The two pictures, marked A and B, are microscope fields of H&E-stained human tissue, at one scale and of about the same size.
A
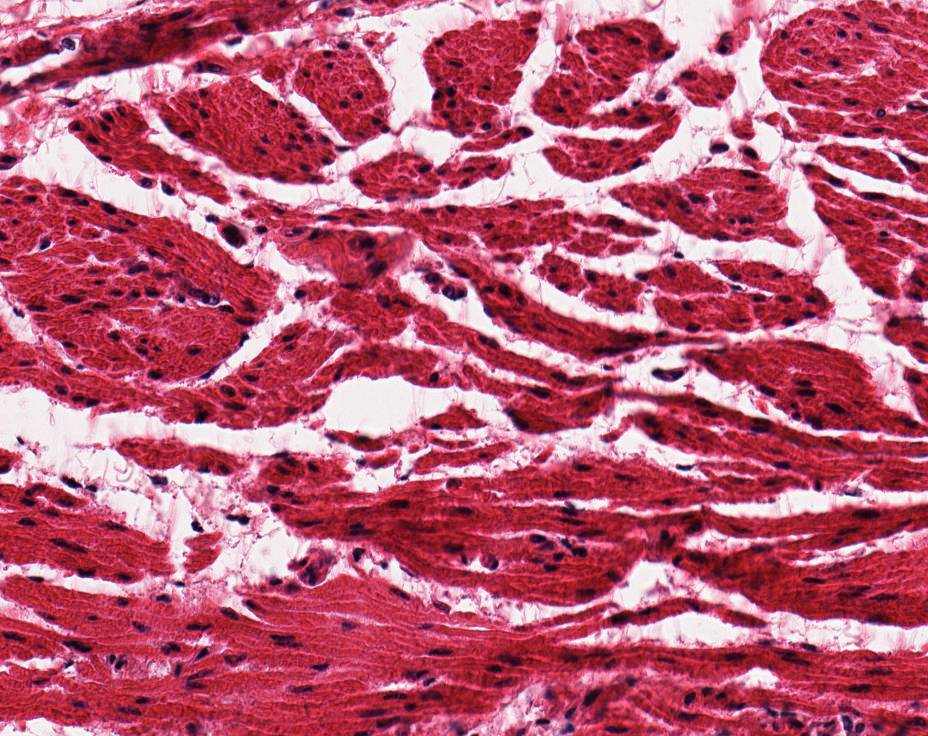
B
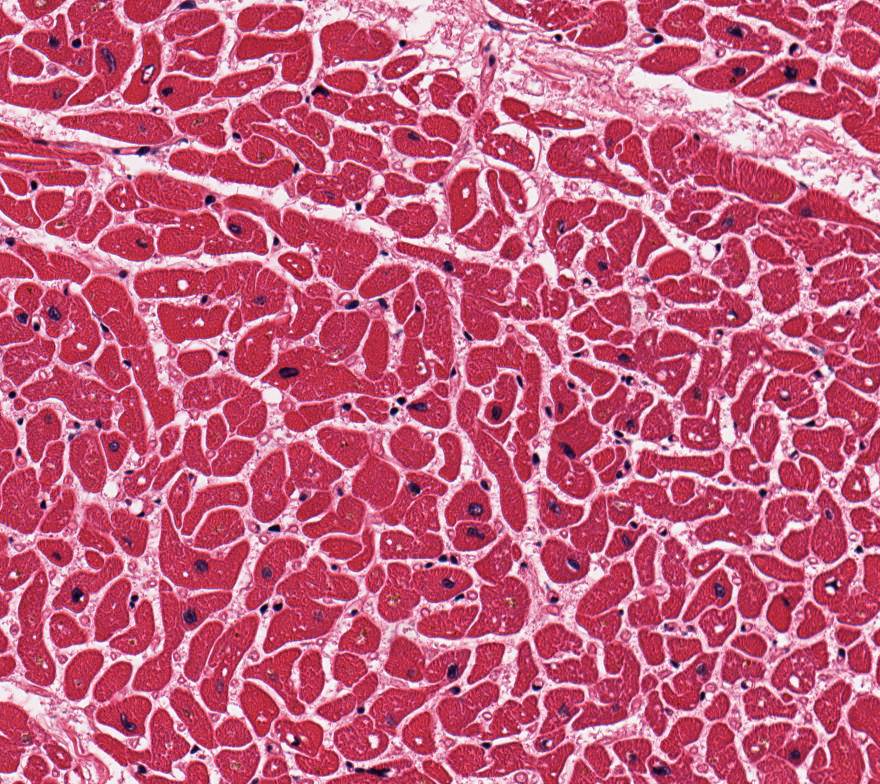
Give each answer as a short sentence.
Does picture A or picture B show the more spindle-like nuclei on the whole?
On the whole the nuclei of picture A are more drawn out than those of picture B.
